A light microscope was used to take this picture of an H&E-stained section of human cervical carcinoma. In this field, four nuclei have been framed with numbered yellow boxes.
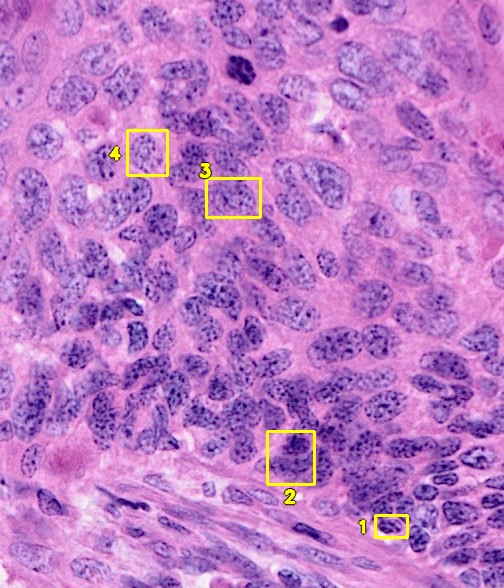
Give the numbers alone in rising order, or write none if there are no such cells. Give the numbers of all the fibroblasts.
none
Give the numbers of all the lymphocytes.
1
